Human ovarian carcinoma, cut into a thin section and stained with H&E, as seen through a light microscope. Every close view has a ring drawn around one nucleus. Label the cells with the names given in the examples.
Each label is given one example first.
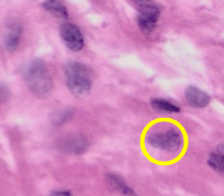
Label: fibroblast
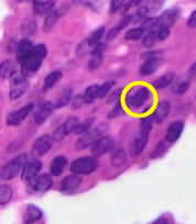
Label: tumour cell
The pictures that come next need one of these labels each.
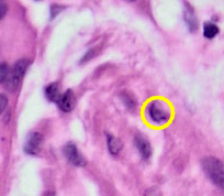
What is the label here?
fibroblast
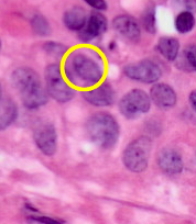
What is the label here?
tumour cell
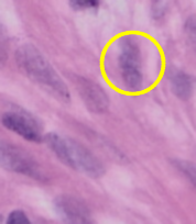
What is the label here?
fibroblast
